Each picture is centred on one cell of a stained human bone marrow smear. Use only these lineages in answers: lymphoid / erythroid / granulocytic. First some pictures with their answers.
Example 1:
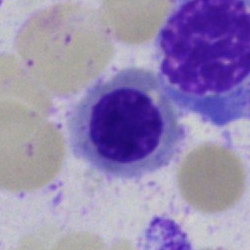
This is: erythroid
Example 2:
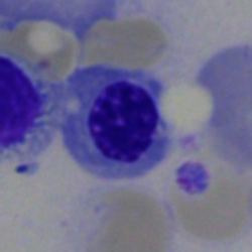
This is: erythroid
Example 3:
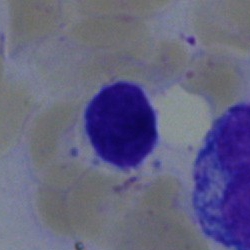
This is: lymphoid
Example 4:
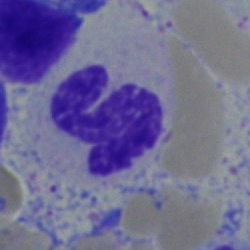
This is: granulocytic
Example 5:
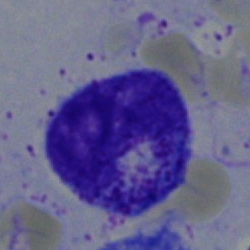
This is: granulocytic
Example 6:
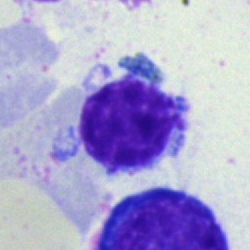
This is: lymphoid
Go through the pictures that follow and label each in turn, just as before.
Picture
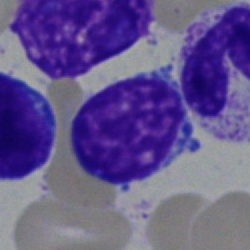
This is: lymphoid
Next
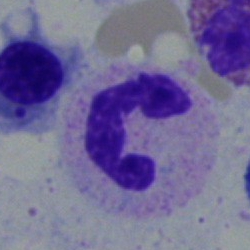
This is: granulocytic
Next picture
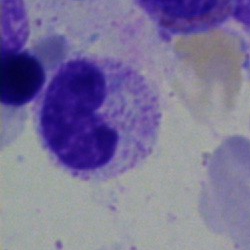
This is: granulocytic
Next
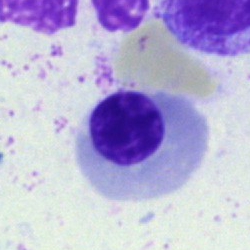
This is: erythroid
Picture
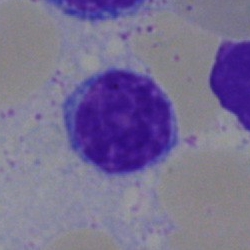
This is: lymphoid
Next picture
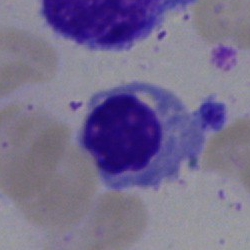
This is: erythroid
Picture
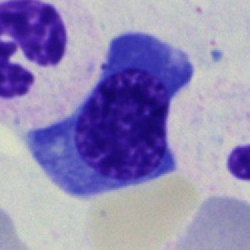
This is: erythroid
